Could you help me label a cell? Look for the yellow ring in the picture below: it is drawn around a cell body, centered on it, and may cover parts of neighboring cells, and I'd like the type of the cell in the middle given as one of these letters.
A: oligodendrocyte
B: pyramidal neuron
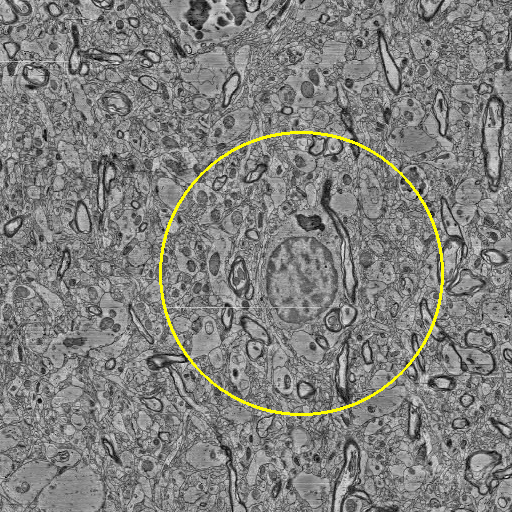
A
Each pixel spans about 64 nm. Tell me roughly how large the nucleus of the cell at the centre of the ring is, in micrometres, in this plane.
In this plane, the nucleus is roughly 6 by 4 micrometres.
